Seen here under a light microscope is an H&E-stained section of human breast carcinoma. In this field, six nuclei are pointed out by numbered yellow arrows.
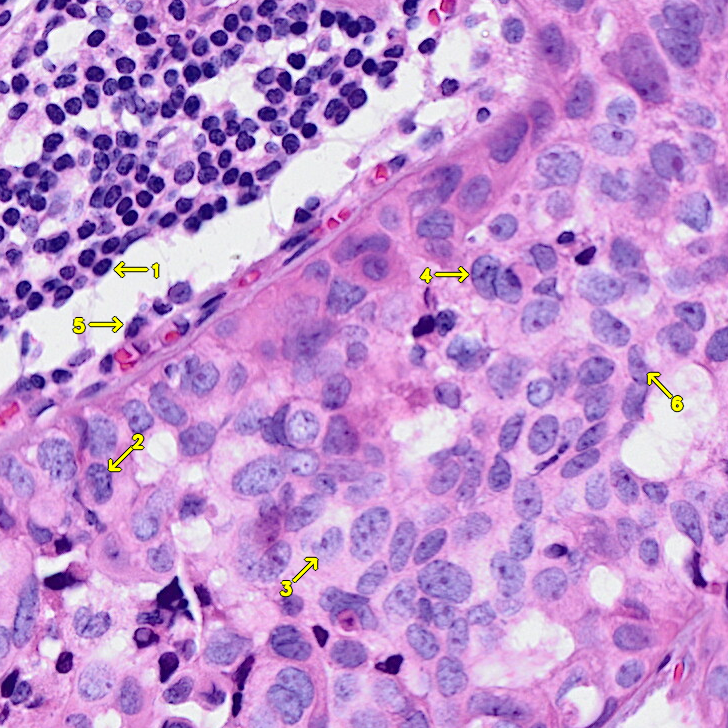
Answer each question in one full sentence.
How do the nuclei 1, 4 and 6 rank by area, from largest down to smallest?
Going from the biggest nucleus down to the smallest gives 4, 6, 1.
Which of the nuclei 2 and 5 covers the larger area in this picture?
Number 2 is larger; its area is about 2 times that of number 5.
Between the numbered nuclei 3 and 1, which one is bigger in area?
Nucleus 3 covers more area, about 2.5 times as much as nucleus 1.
